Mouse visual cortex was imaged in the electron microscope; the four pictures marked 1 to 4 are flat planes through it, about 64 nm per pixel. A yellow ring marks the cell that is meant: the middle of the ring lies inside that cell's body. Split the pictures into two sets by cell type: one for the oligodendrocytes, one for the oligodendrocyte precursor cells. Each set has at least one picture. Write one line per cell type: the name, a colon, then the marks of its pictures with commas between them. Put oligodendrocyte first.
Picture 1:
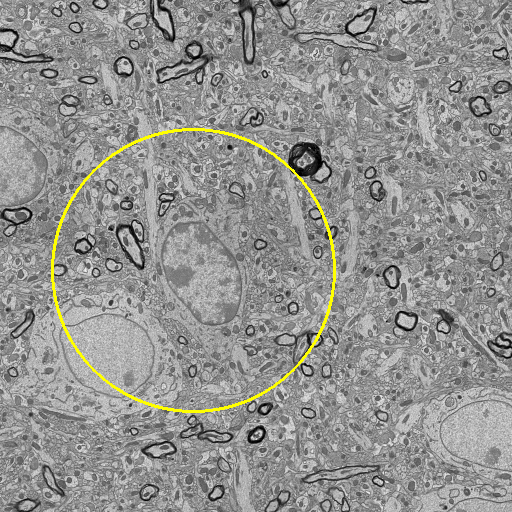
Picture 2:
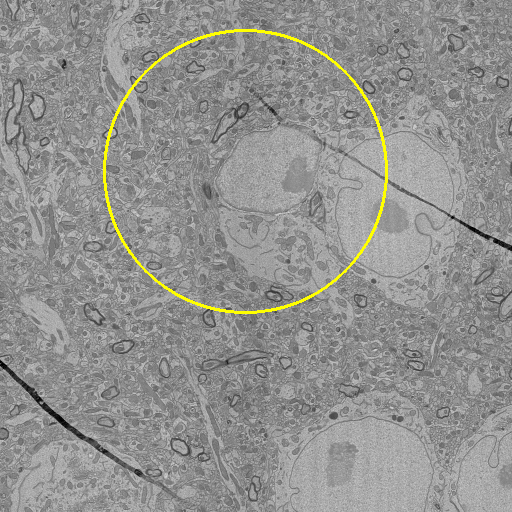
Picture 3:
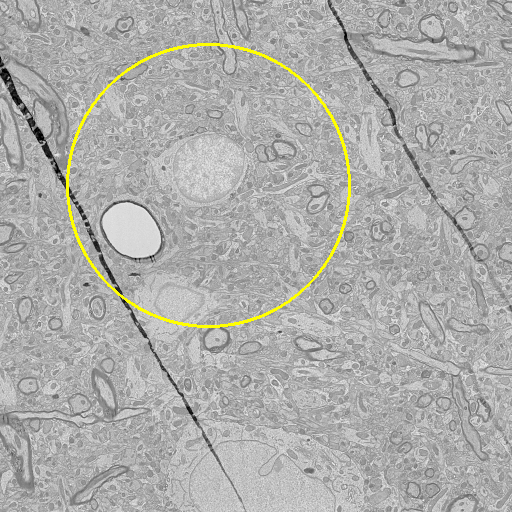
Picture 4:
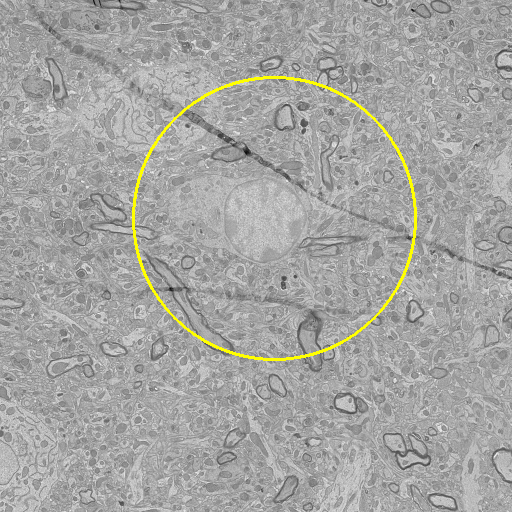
oligodendrocyte: 1, 3, 4
oligodendrocyte precursor cell: 2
